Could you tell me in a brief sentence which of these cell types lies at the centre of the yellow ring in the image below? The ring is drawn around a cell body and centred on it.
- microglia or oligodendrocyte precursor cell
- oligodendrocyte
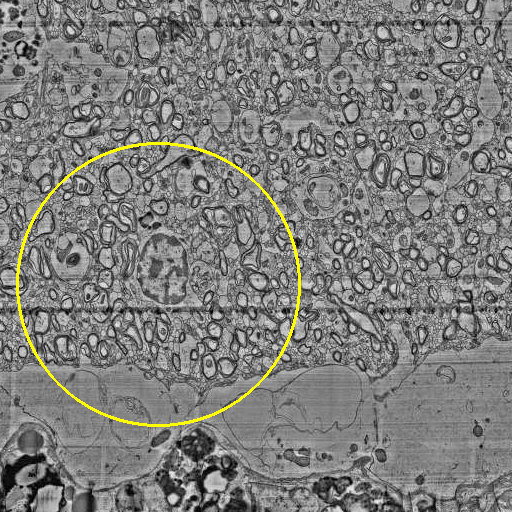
The cell centred in the ring is a microglial cell or oligodendrocyte precursor cell.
